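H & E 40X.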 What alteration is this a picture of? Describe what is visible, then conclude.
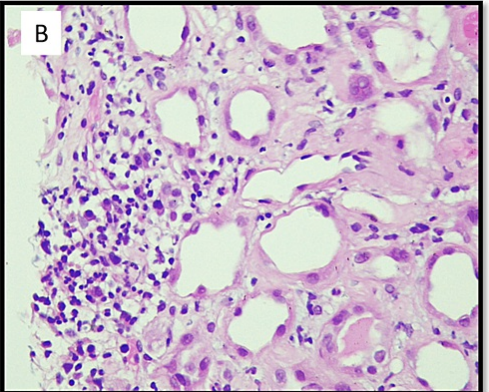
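Simplified epithelium. Tubules have wide, open lumens. The tubular lining cells are flattened and thin.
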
